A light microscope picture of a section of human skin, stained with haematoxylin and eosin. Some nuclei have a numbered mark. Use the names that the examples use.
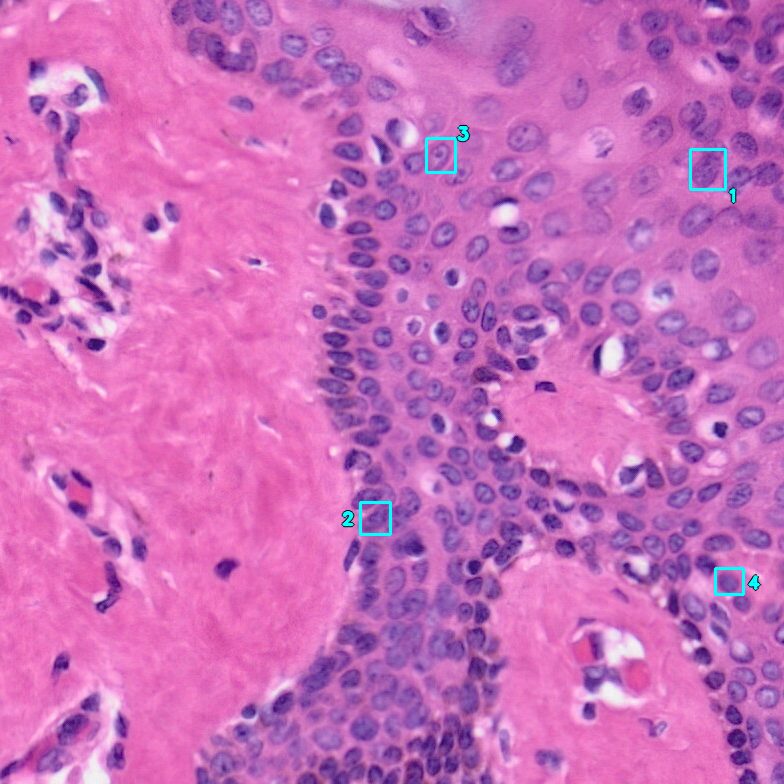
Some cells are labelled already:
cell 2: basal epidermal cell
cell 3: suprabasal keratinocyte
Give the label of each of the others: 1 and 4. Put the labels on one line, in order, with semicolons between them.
suprabasal keratinocyte; basal epidermal cell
